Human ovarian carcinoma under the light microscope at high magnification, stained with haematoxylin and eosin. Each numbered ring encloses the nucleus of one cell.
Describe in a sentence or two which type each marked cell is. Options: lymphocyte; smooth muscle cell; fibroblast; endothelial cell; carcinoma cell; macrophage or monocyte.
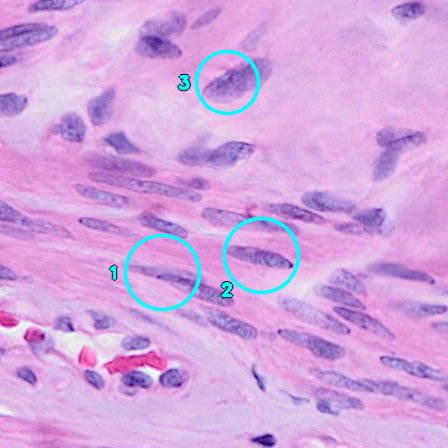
Cells 1 and 2 are smooth muscle cells. Cell 3 is a fibroblast.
